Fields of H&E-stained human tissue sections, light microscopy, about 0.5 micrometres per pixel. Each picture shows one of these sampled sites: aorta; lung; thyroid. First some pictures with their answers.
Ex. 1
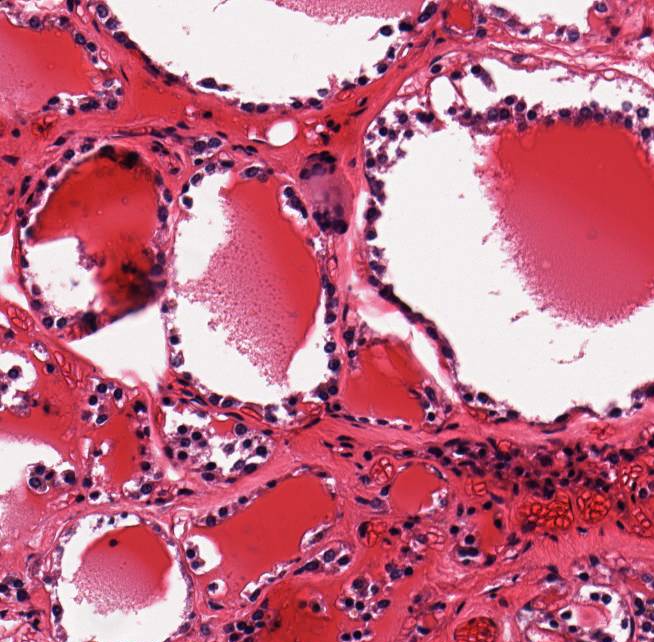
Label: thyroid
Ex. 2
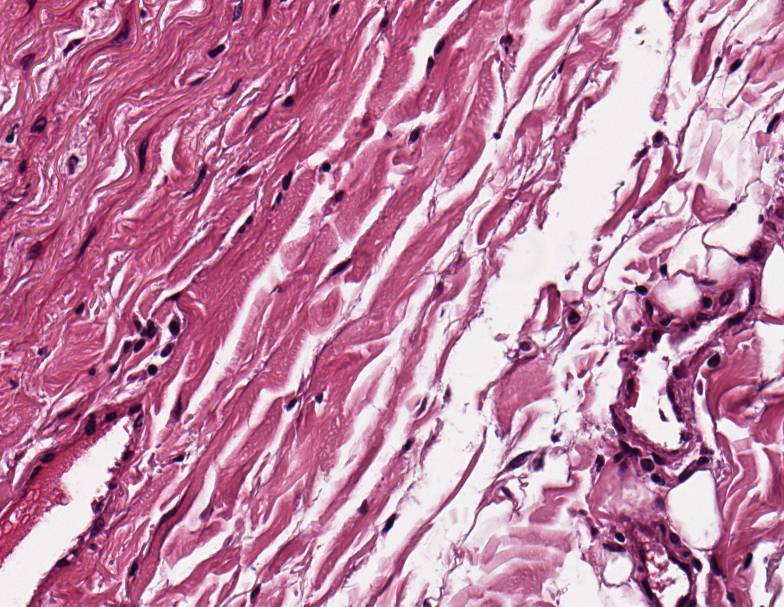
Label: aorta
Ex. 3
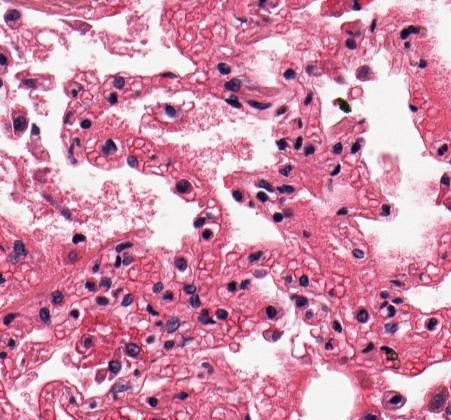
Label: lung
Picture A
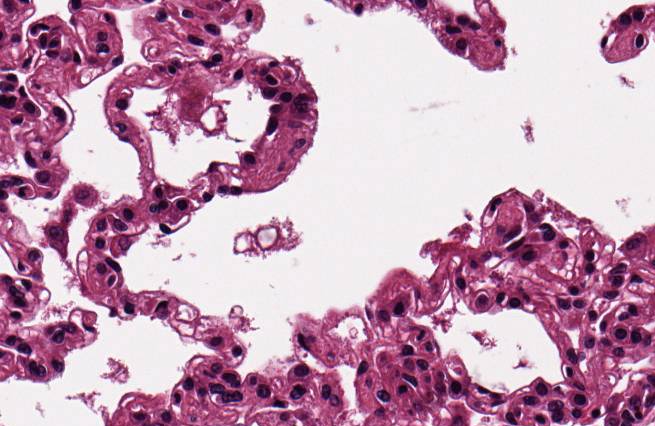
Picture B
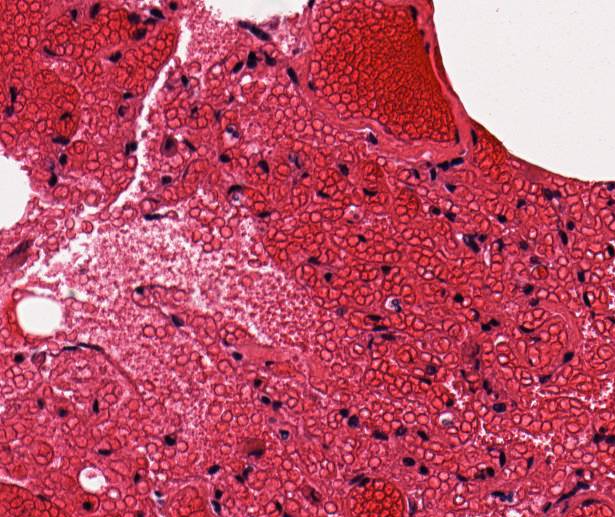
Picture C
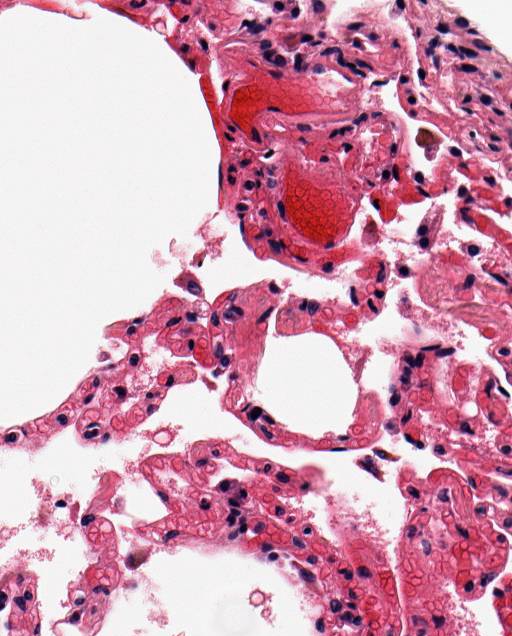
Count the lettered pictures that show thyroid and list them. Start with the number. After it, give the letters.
0, none of them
